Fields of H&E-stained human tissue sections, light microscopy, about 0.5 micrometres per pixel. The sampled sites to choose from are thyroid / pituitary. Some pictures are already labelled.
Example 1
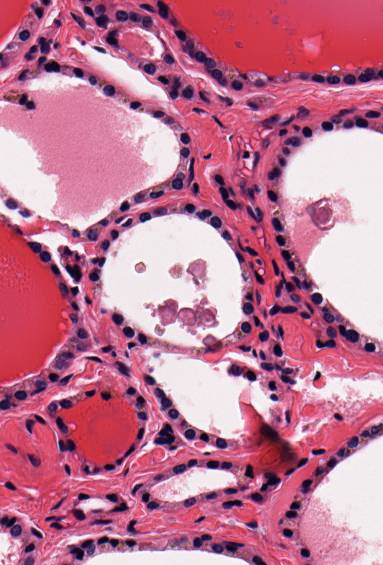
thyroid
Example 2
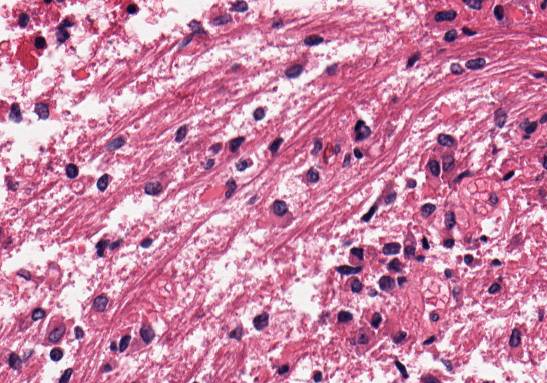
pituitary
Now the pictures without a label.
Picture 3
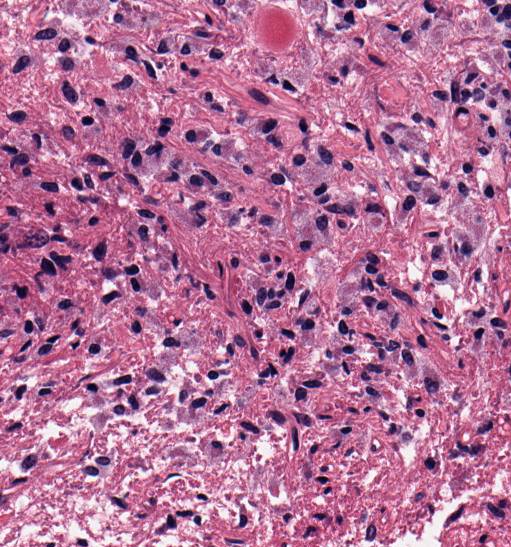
pituitary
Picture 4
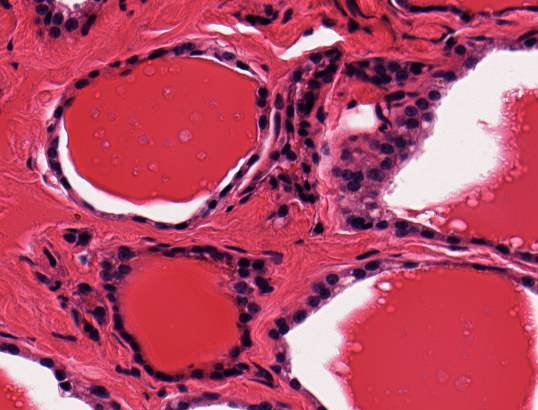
thyroid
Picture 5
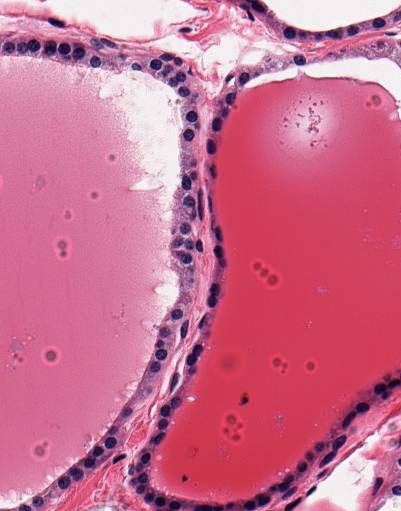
thyroid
